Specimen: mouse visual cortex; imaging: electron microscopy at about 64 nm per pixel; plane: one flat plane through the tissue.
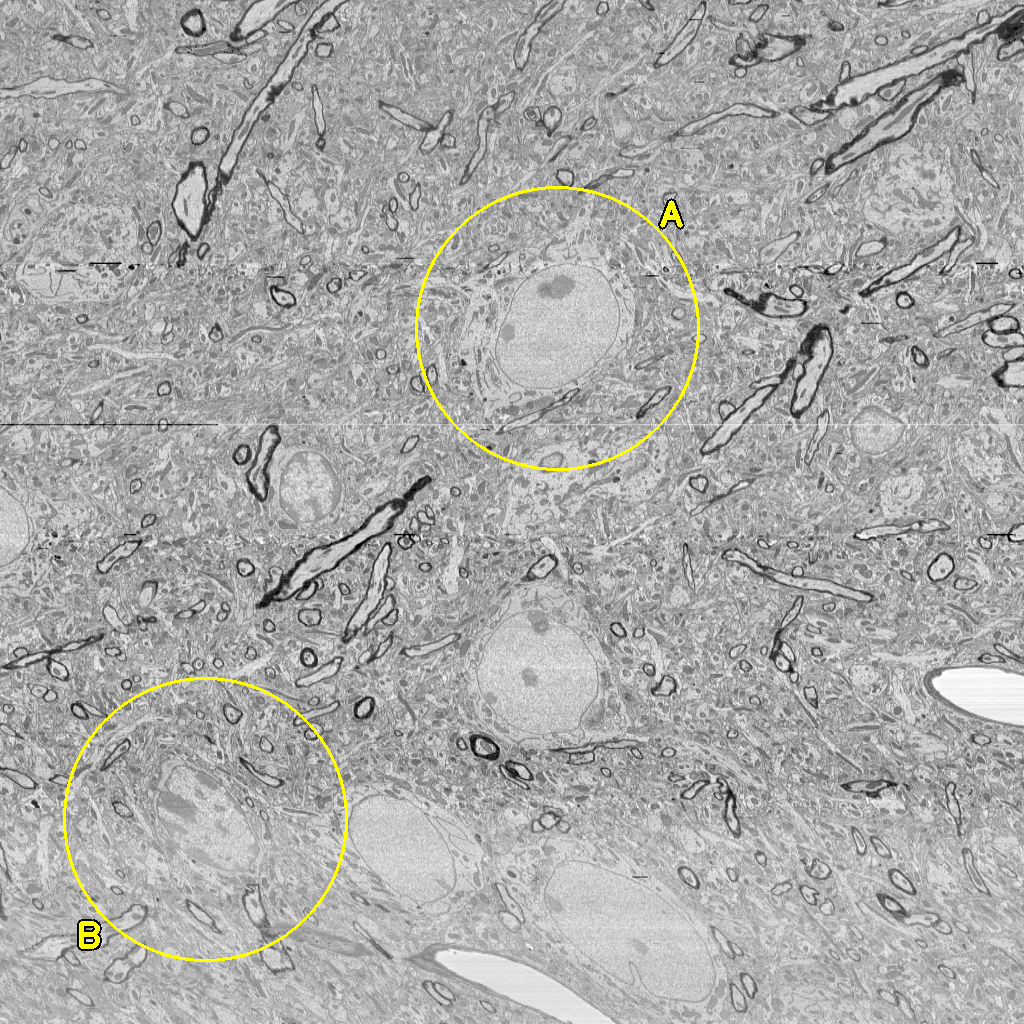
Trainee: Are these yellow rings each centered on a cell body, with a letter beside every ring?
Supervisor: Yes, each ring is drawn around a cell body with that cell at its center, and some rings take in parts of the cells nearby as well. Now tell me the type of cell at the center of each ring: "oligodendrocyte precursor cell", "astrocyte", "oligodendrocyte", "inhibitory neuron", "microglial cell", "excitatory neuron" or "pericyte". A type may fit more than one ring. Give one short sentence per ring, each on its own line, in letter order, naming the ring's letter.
Ring A has an excitatory neuron at its center.
Ring B has an oligodendrocyte at its center.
